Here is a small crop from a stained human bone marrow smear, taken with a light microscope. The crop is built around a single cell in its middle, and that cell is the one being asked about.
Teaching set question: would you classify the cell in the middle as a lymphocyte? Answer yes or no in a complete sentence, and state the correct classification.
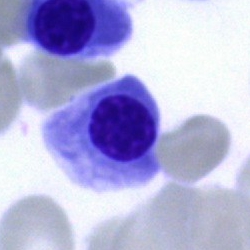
No, the cell in the middle should be called an erythroblast instead of a lymphocyte.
